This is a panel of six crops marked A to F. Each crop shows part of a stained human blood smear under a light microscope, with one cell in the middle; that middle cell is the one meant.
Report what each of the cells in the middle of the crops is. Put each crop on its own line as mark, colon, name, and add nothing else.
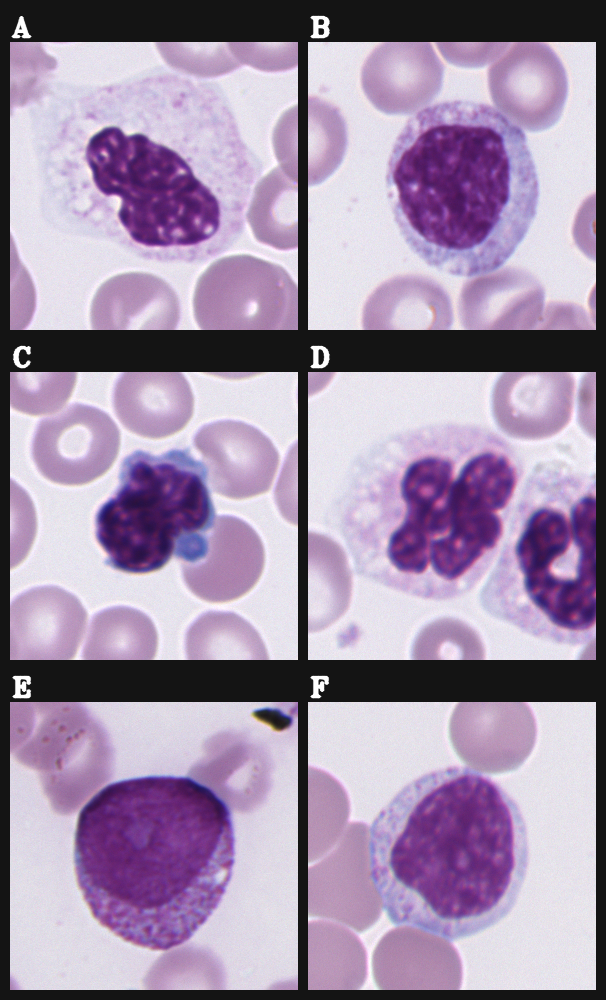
A: segmented neutrophil
B: myelocyte
C: typical lymphocyte
D: segmented neutrophil
E: myelocyte
F: large granular lymphocyte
